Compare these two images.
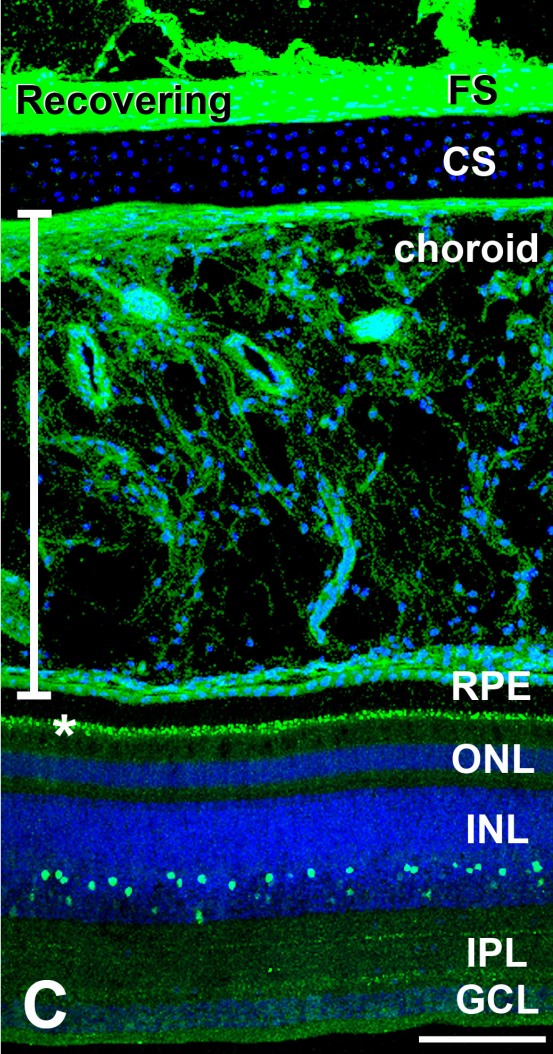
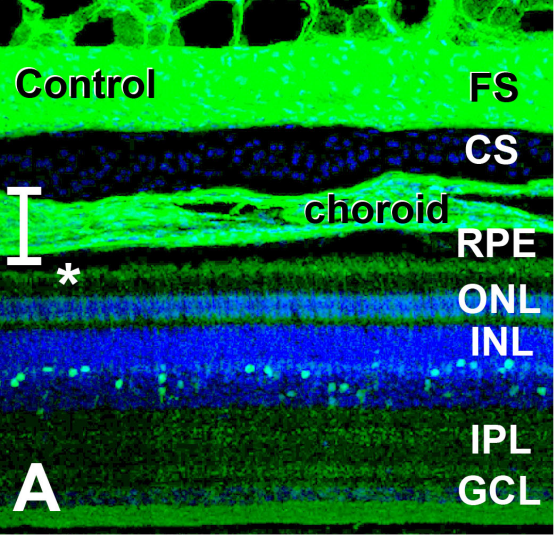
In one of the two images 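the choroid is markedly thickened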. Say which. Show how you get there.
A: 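First image: the choroid is a wide layer occupying about half the panel height, full of loose stroma and vessels. Second image: the choroid is a thin band between the cartilaginous sclera and the pigment epithelium. So: the first image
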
